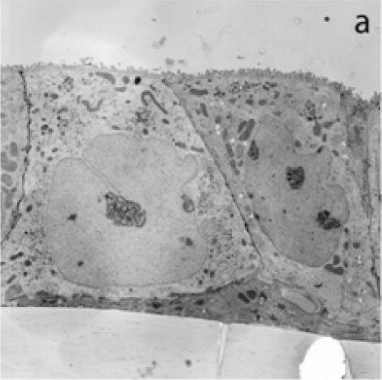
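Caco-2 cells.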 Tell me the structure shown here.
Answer: monolayer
